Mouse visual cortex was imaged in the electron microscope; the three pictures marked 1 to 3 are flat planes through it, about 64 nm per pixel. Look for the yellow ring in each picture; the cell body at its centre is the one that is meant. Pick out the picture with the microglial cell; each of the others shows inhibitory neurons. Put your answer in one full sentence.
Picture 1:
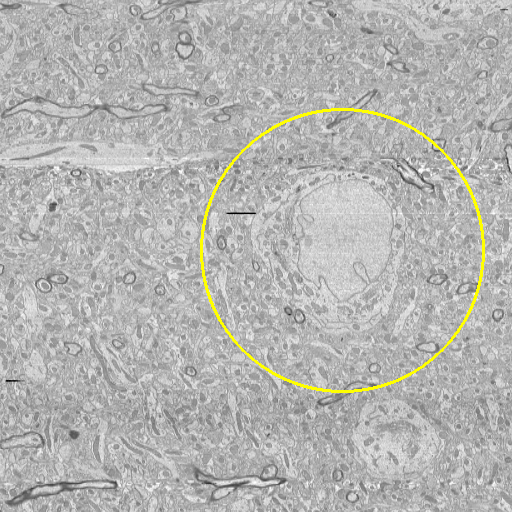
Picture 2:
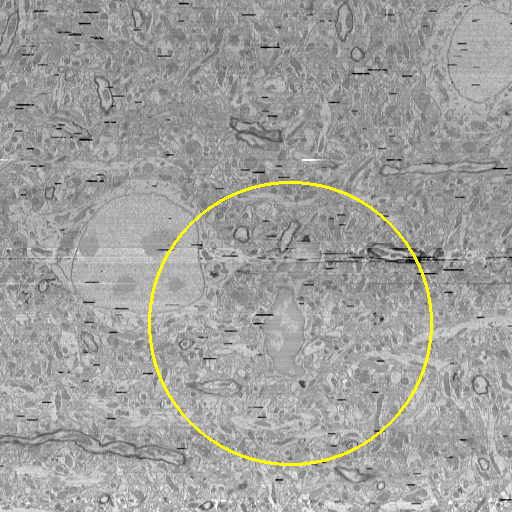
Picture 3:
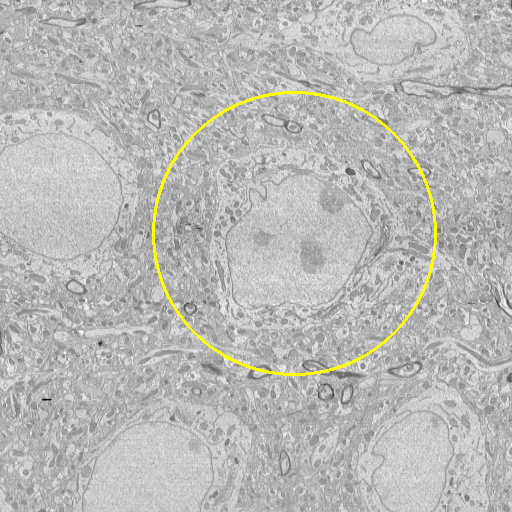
The microglial cell is the one in picture 2.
